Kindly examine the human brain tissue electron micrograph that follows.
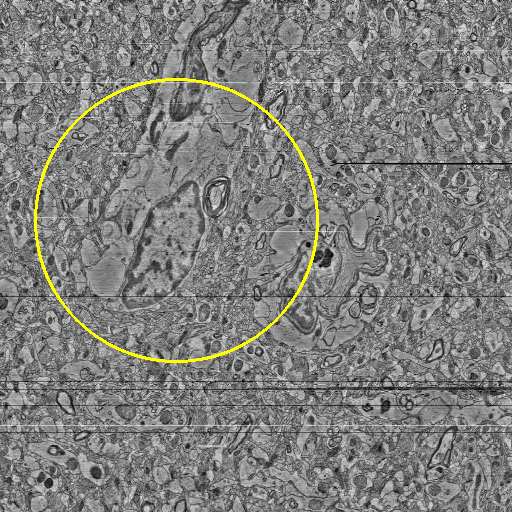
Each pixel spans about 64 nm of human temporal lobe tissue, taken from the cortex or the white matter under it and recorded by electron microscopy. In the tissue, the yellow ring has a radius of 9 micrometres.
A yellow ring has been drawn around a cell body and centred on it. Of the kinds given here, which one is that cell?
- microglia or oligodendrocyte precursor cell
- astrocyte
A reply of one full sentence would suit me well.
The micrograph's ringed cell, the one at the ring's centre, is a microglial cell or oligodendrocyte precursor cell.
